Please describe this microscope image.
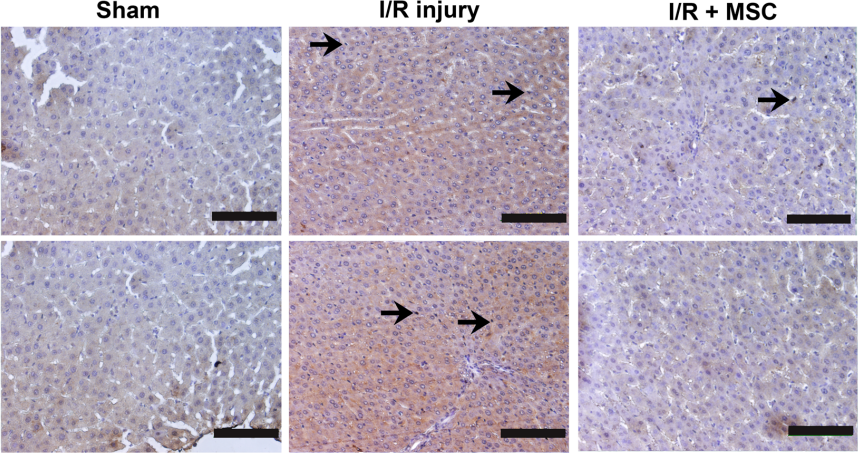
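Liver parenchyma of polygonal hepatocytes with round, centrally placed blue nuclei, arranged in plates separated by narrow sinusoidal spaces, with occasional small vessels. In some fields the cytoplasm takes a faint brown tint, and scattered small dark brown nuclear dots, marked with arrows, stand out among otherwise blue nuclei.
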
